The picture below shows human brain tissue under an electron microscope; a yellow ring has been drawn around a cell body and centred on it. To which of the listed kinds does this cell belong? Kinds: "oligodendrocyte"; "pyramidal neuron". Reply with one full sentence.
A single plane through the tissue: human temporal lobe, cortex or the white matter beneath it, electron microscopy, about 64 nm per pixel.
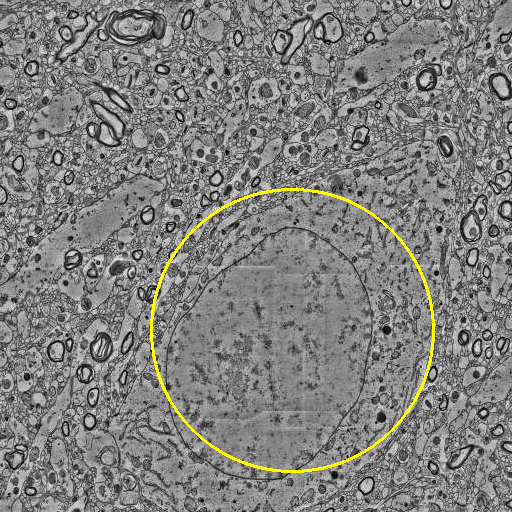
It is a pyramidal neuron that the yellow ring in the picture is centred on.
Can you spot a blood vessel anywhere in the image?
No, the picture includes no blood vessel.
